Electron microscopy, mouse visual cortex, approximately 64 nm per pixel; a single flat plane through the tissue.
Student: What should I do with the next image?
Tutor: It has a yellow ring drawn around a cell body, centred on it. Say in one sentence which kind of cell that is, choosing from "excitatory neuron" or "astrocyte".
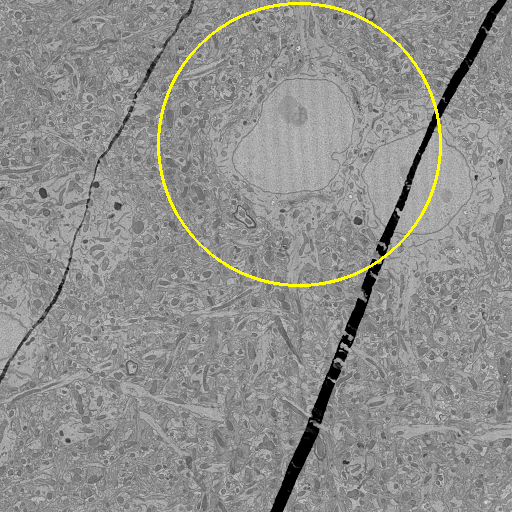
The ring's centre is occupied by an excitatory neuron.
